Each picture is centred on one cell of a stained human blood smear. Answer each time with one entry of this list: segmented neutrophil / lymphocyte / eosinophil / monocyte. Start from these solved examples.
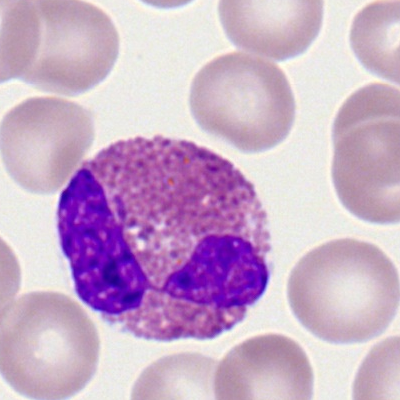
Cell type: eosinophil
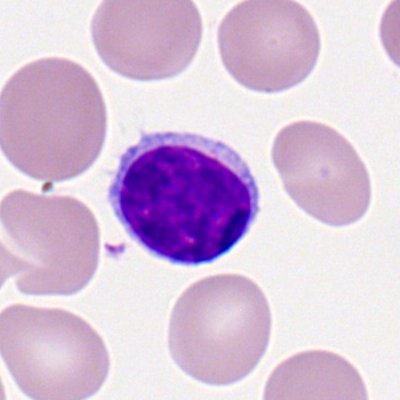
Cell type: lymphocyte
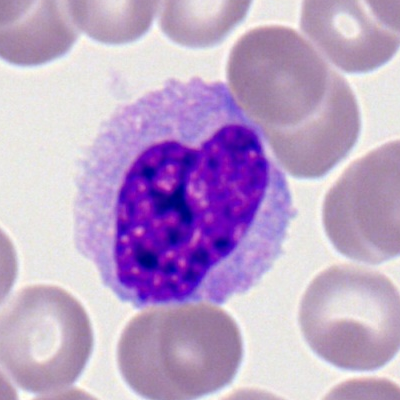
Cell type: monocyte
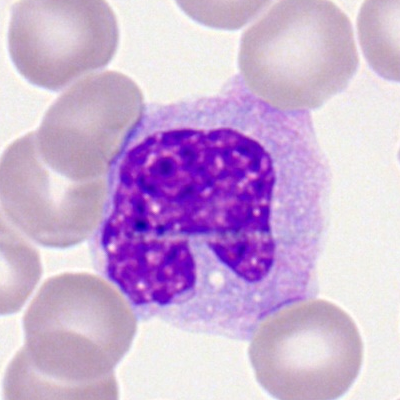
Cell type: monocyte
